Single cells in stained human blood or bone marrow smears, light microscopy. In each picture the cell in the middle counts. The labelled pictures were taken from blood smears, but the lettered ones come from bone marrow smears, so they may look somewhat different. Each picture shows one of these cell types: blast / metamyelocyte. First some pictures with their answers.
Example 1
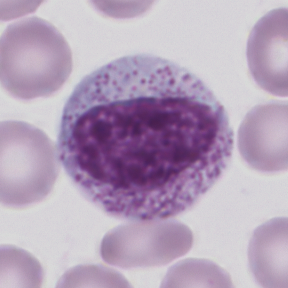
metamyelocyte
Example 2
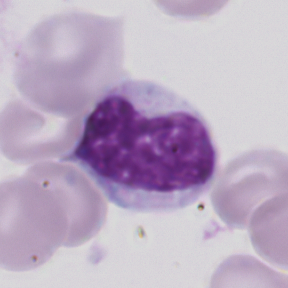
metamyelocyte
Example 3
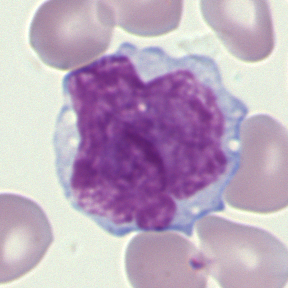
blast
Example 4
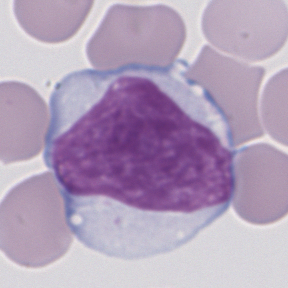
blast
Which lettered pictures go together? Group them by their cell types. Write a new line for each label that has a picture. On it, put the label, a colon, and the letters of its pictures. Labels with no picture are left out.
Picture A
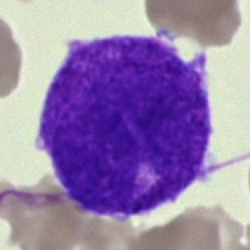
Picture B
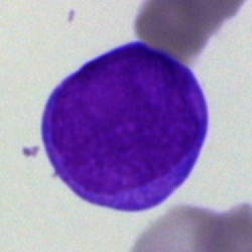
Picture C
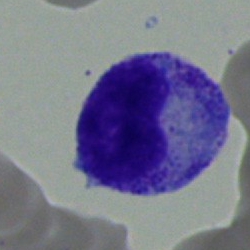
blast: A, B
metamyelocyte: C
